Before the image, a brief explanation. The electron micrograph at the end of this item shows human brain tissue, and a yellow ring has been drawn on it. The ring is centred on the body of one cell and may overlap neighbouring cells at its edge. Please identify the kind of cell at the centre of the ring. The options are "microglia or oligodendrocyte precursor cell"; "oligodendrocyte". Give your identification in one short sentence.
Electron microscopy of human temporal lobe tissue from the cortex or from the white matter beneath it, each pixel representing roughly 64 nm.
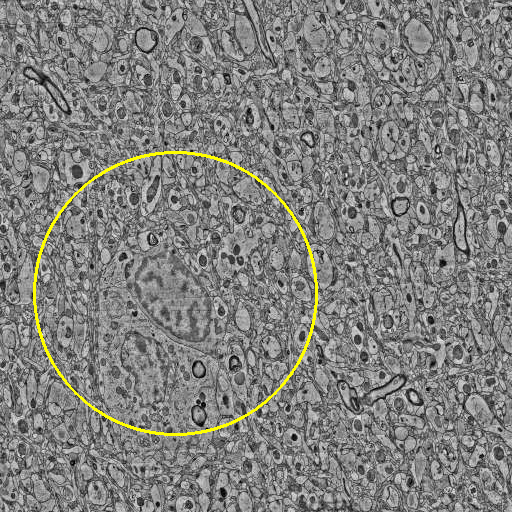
The ring has been placed around an oligodendrocyte.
